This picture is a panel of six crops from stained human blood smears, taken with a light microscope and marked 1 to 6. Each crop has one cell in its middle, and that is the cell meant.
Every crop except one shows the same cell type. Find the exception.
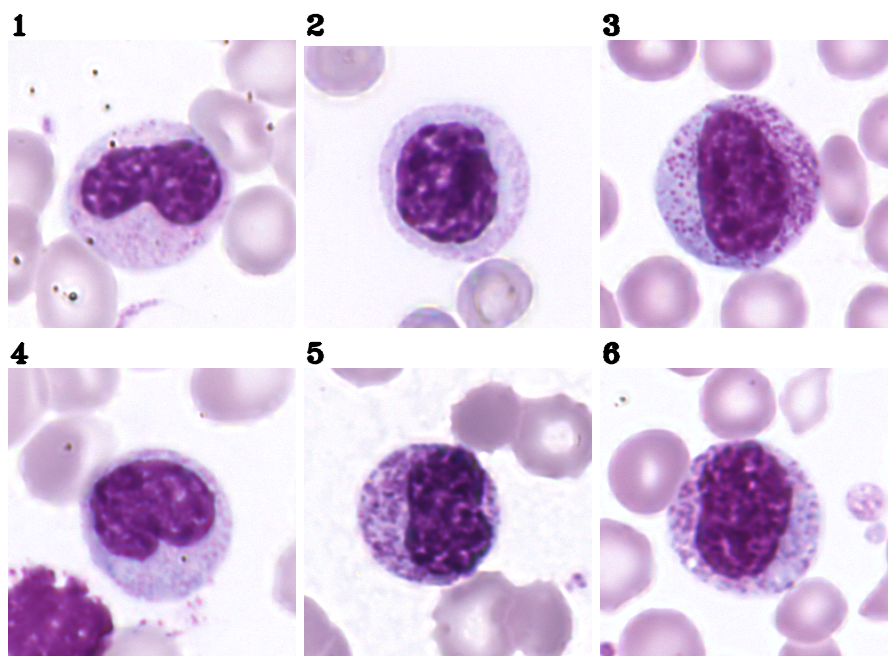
1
